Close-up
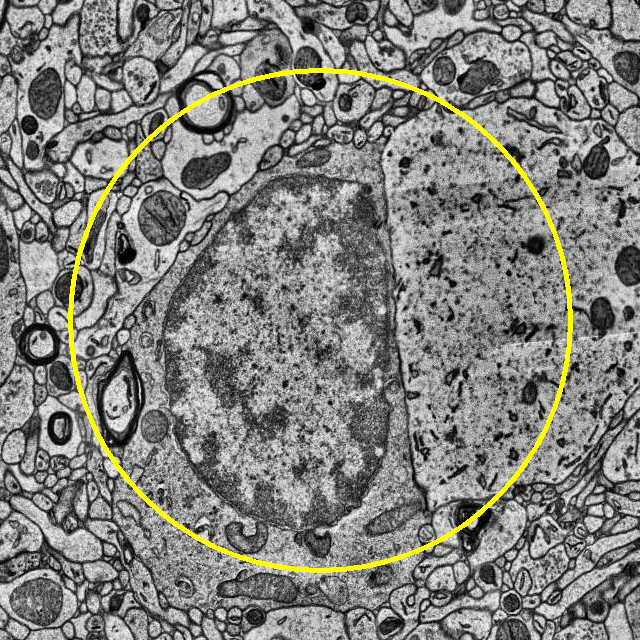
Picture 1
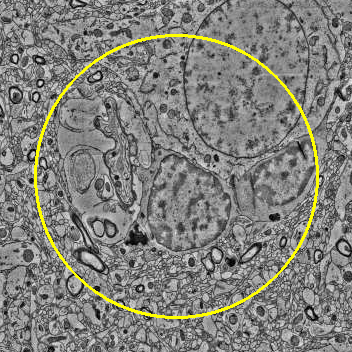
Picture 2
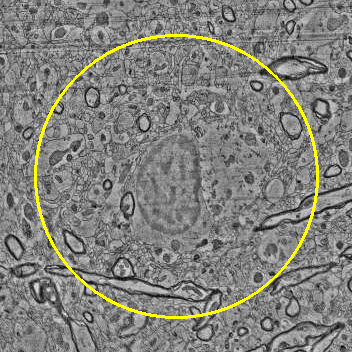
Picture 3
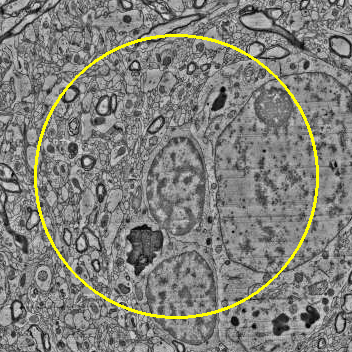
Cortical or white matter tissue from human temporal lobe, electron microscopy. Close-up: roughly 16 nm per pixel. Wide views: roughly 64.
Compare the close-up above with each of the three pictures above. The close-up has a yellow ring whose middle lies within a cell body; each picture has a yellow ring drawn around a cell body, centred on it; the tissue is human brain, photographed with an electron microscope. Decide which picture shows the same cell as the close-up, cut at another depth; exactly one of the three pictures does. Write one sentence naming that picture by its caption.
The cell within the yellow ring of Picture 2 is the one in the close-up.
